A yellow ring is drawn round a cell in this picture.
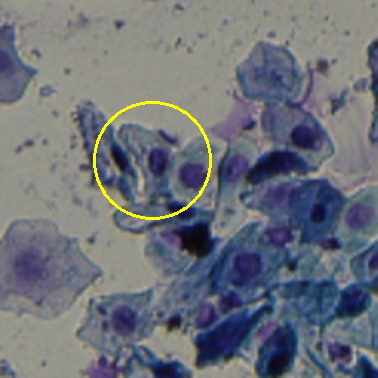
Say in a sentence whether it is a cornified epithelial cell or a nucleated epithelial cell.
The cell in the ring is a nucleated epithelial cell.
